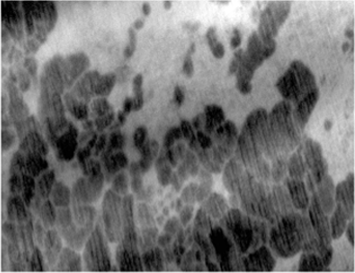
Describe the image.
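Many lie close together and run into one another, forming larger clustered patches toward the lower and left part of the field, while smaller isolated spots are scattered across the paler upper area. Fine parallel striations cross many of the dark areas, following the grain of the matrix. Between the depressions the surface is smooth and light.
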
